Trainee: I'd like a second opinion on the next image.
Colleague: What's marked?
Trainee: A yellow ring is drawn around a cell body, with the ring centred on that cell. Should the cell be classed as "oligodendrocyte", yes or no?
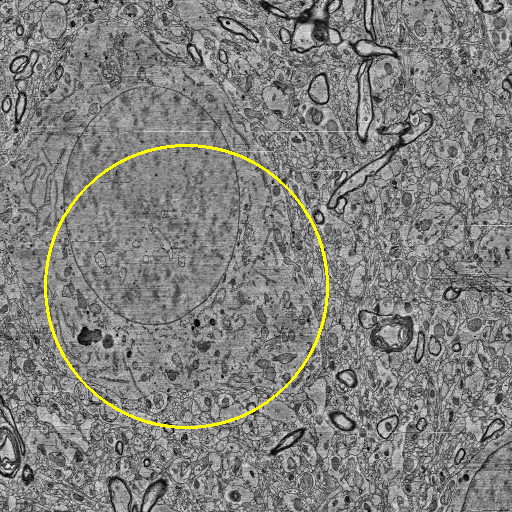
No, it should be classed as another kind.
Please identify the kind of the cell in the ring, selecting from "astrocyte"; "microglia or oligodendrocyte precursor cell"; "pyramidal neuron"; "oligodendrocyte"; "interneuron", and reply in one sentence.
The cell enclosed by the ring is a pyramidal neuron.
